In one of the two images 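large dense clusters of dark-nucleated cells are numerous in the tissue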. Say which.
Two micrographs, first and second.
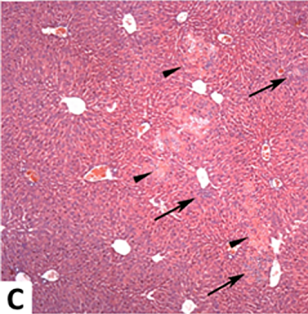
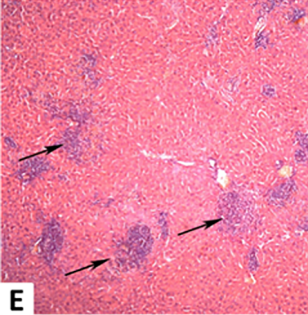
The second image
